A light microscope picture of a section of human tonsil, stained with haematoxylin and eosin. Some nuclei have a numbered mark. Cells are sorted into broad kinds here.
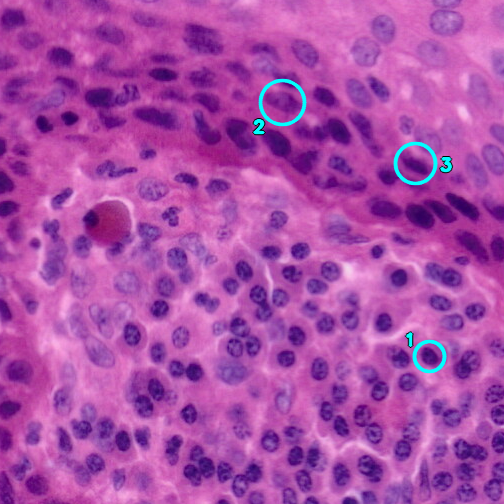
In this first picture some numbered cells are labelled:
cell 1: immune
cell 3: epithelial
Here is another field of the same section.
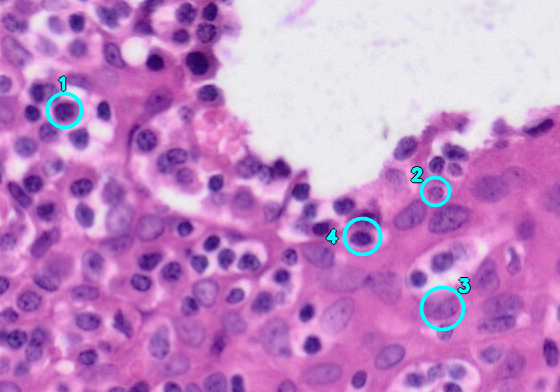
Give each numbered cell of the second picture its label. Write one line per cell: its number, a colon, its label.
1: immune
2: epithelial
3: epithelial
4: epithelial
